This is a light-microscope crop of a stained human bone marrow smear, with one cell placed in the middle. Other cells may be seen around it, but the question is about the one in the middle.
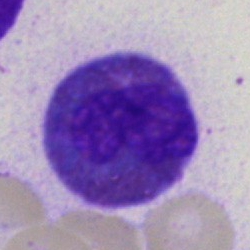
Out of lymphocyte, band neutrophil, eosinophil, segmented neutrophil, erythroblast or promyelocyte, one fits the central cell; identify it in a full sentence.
The cell in the middle of the field of view is an eosinophil.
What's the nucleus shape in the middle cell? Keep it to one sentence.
Worth pointing out that its nucleus is one compact mass, round, oval or reniform.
